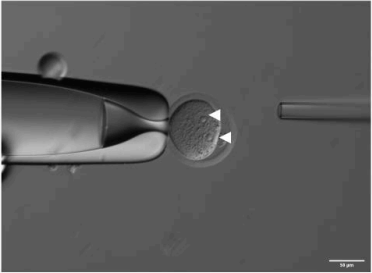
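Single round zygote held by a wide holding pipette on the left, with a fine pipette facing it on the right. The cytoplasm is granular and enclosed by a clear zona pellucida. A small round body lies free above the holding pipette.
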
